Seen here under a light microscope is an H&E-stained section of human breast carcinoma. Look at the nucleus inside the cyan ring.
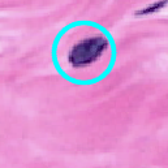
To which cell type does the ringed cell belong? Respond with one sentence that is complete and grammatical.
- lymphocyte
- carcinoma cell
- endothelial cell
Microscopically, the ringed cell is categorized as a lymphocyte.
